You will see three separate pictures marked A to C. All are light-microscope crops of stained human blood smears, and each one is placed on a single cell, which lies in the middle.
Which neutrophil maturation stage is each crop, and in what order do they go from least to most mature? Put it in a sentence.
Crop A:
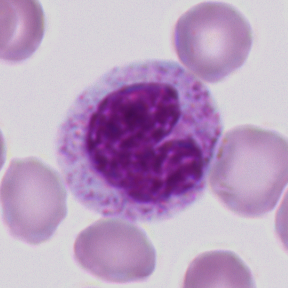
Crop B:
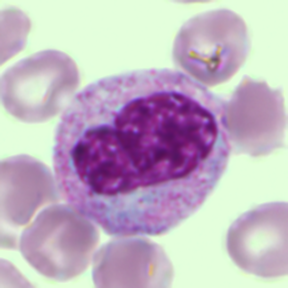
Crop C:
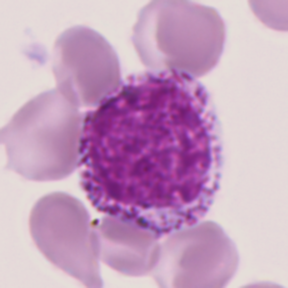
Ordered from the youngest stage to the most mature, the crops are crop C (a myelocyte), crop B (a metamyelocyte) and crop A (a band neutrophil).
